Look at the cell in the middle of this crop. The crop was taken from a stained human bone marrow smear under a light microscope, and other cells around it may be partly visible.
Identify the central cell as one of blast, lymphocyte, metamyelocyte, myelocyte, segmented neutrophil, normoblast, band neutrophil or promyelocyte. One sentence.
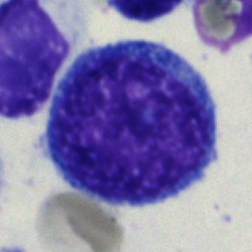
Where the crop is centred, there is a blast.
